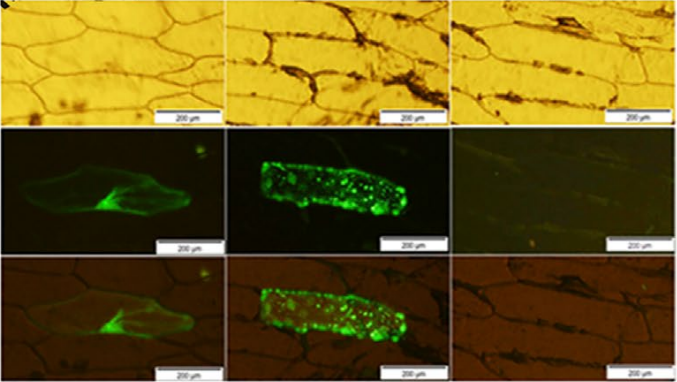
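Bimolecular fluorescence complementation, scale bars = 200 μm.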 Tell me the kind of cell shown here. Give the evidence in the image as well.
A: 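Large elongated polygonal cells joined edge to edge in a single sheet. Cells are a few hundred micrometres long compared with the 200 μm scale bar.
Hence: onion epidermal cells.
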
